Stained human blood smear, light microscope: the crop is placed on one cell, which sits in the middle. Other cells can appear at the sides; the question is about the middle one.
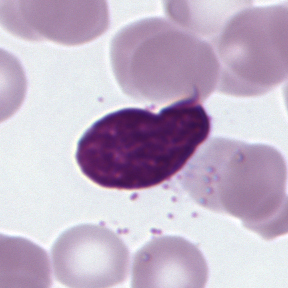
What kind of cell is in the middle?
smudge cell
